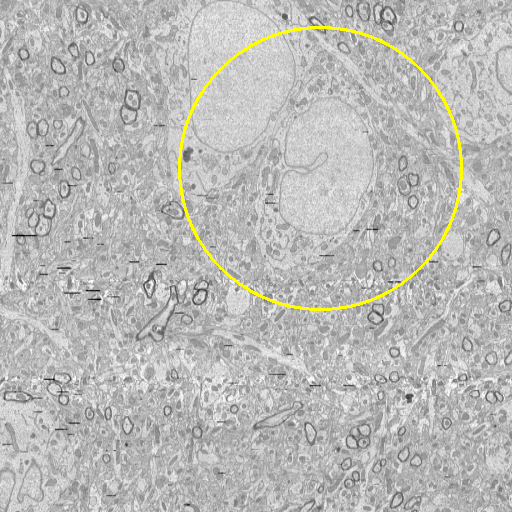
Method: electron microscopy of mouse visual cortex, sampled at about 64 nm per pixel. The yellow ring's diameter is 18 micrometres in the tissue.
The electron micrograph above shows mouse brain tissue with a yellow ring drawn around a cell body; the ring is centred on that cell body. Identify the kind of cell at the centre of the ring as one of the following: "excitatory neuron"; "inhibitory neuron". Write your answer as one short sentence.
The cell at the centre of the ring is an inhibitory neuron.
